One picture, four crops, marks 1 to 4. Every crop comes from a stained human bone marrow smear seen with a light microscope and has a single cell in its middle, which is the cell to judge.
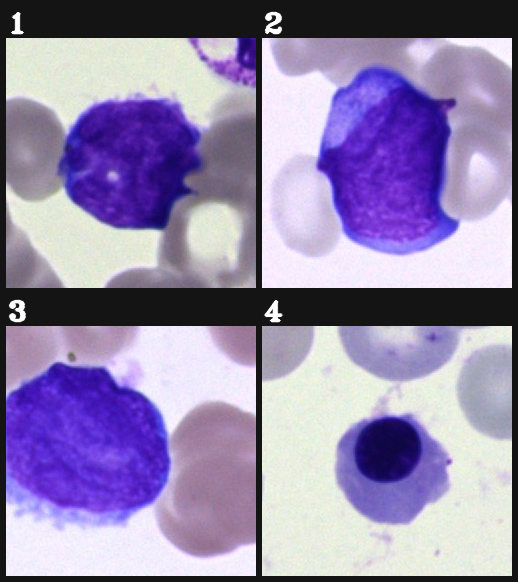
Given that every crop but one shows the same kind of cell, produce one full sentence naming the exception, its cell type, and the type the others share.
The crop that differs is 4, which is an erythroblast; the rest are blasts.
